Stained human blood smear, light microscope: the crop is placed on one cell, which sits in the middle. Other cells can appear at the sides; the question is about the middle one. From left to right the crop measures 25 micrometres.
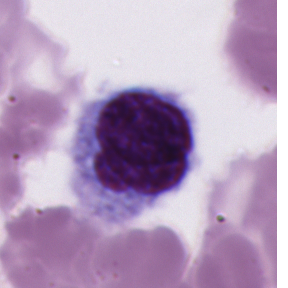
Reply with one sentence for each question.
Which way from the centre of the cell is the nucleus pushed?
Seen from the middle of the cell, the nucleus lies toward the upper right.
